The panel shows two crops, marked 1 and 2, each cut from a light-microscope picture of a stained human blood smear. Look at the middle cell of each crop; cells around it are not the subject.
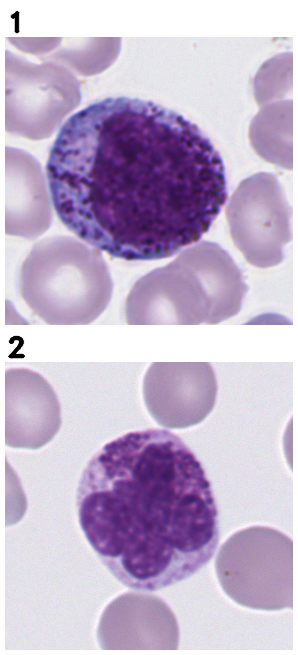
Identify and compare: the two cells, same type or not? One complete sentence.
No, the cell in crop 1 is a promyelocyte and the one in crop 2 is a basophil.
